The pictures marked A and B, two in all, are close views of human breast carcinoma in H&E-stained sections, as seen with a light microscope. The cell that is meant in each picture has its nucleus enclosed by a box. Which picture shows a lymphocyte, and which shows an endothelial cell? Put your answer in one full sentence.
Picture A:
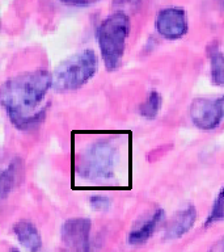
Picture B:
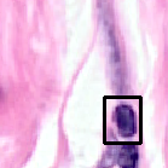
In picture A the cell is an endothelial cell; in picture B, a lymphocyte.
